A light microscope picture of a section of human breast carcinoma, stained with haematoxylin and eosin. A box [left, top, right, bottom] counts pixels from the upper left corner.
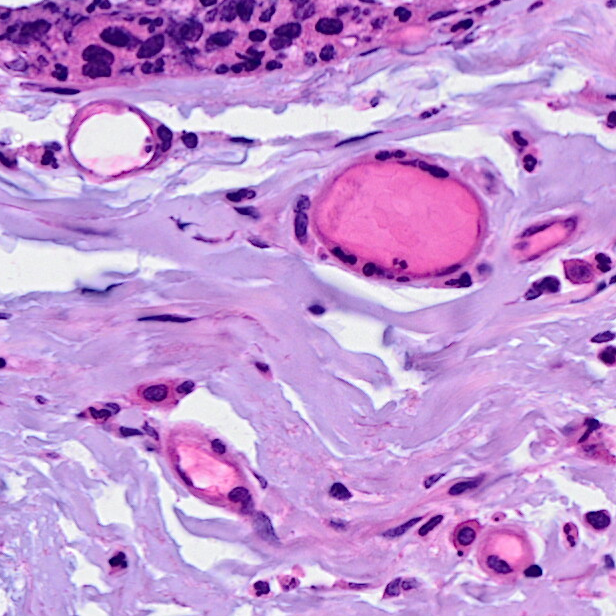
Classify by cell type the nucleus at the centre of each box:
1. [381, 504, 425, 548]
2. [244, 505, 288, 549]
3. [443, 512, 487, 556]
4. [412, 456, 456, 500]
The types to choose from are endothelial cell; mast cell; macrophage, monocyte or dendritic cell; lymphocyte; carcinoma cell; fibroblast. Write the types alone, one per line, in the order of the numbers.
fibroblast
fibroblast
mast cell
fibroblast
